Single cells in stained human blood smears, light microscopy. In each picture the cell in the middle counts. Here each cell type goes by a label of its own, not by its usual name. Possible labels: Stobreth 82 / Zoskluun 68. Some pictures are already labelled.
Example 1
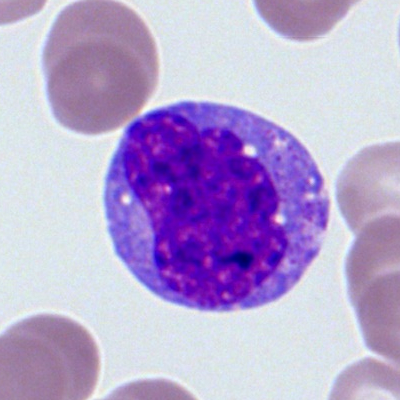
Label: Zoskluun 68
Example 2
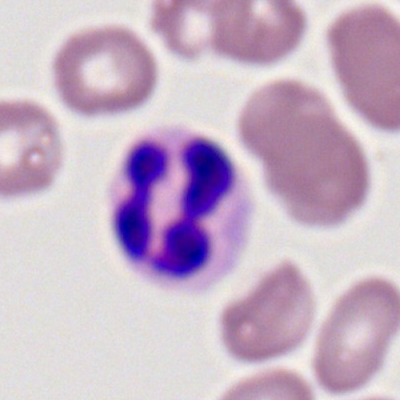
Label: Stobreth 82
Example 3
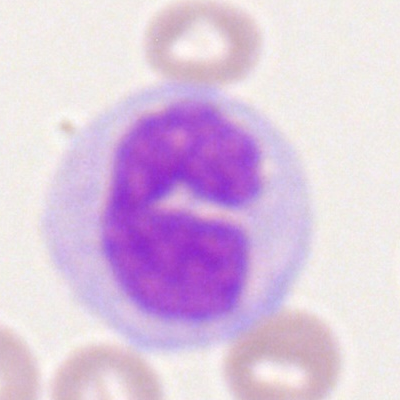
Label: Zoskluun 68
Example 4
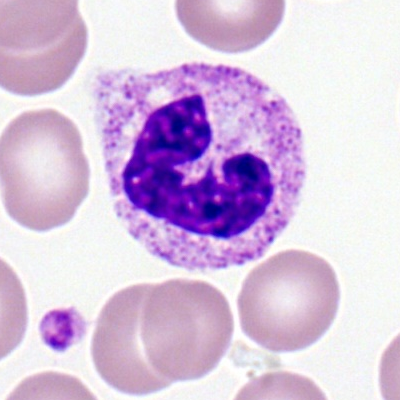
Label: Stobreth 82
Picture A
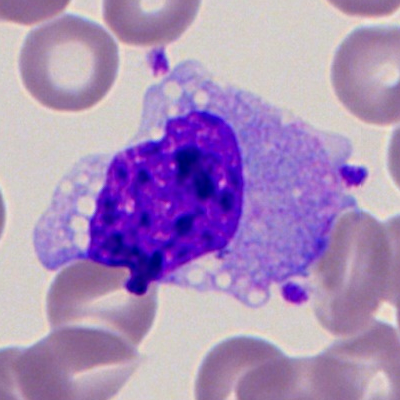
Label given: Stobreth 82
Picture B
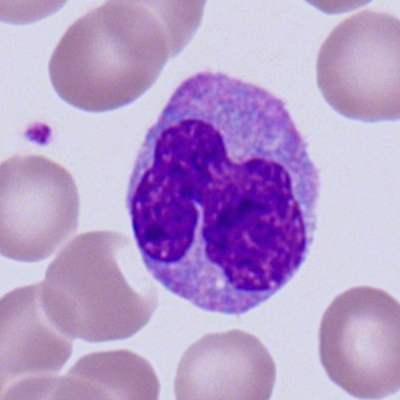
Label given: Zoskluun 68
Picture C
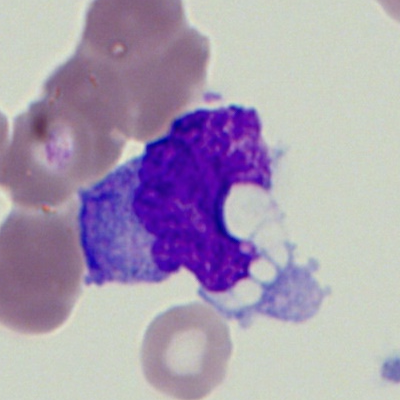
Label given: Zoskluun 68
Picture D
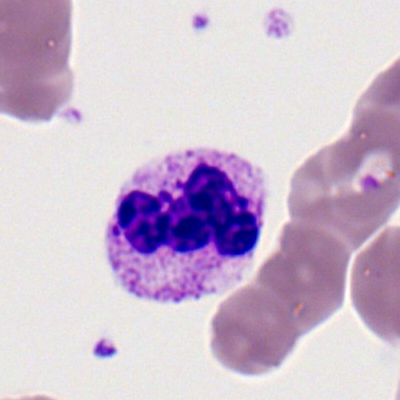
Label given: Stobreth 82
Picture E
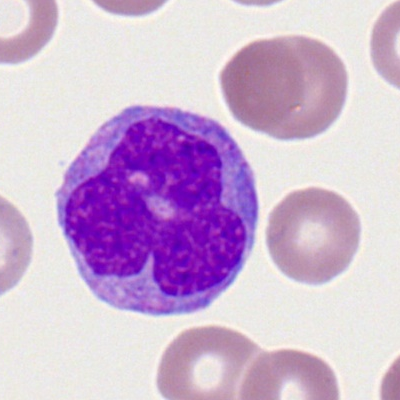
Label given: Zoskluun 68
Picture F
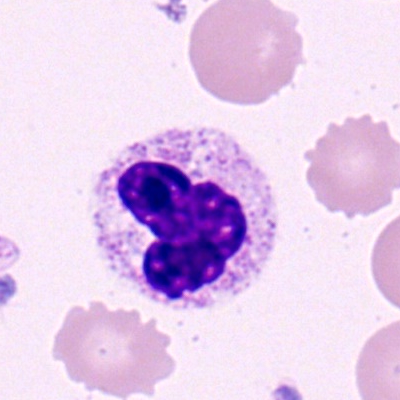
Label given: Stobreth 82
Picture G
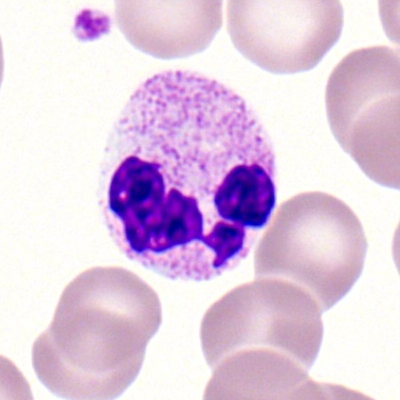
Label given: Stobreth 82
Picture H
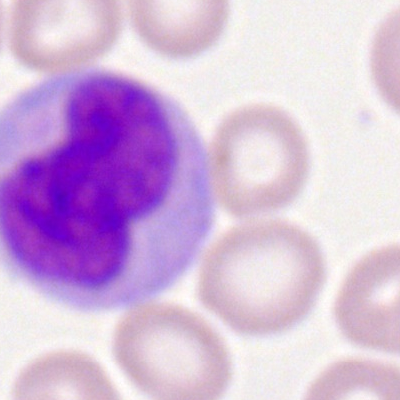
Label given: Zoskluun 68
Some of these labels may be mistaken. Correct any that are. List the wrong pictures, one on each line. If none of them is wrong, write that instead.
A: Zoskluun 68, not Stobreth 82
